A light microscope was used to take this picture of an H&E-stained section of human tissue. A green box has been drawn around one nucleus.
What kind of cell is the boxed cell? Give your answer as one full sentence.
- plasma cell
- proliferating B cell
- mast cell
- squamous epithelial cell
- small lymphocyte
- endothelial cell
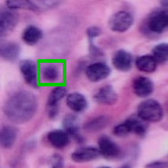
The boxed cell appears to be an endothelial cell.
